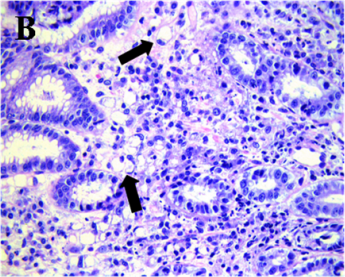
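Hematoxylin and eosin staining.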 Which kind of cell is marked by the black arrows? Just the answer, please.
signet ring cells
